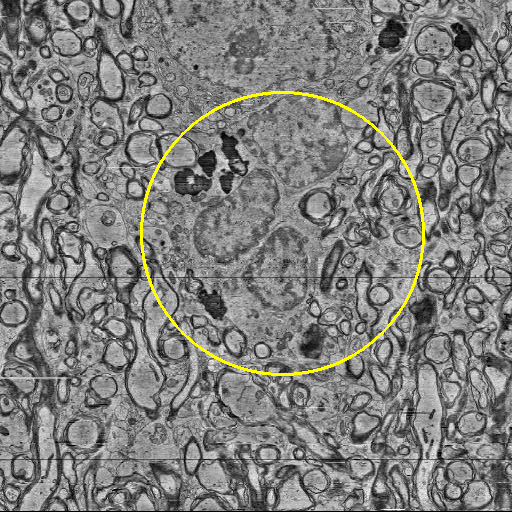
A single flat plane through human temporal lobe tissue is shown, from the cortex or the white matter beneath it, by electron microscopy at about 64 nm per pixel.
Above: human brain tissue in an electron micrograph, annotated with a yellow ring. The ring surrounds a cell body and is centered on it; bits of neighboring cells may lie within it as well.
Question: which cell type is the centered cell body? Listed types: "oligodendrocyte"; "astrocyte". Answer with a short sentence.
The centered cell body is an oligodendrocyte.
